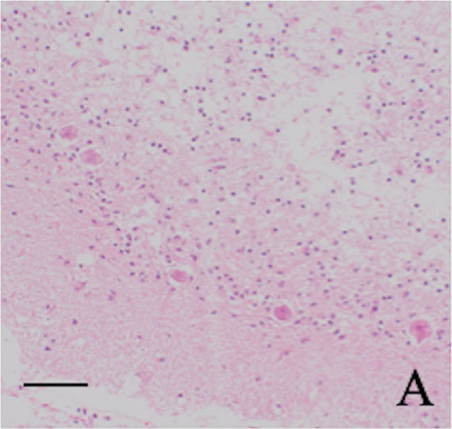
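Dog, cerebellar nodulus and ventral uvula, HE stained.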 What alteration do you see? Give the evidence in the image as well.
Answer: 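The granular layer holds only scattered small nuclei instead of a dense sheet. The neuropil is pale and full of small clear vacuoles. Only a few large neurons with pink cytoplasm remain.
Answer: Neuronal degeneration and loss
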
